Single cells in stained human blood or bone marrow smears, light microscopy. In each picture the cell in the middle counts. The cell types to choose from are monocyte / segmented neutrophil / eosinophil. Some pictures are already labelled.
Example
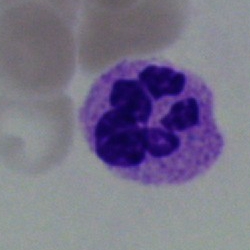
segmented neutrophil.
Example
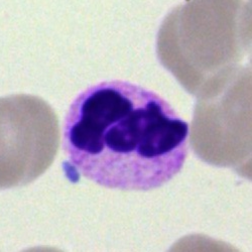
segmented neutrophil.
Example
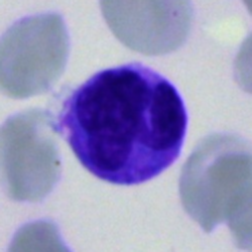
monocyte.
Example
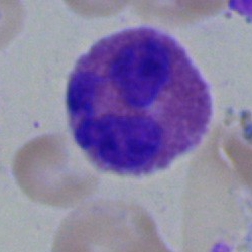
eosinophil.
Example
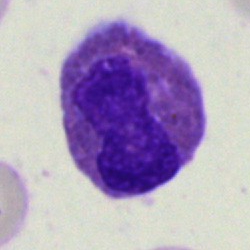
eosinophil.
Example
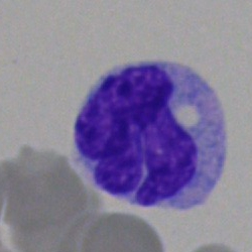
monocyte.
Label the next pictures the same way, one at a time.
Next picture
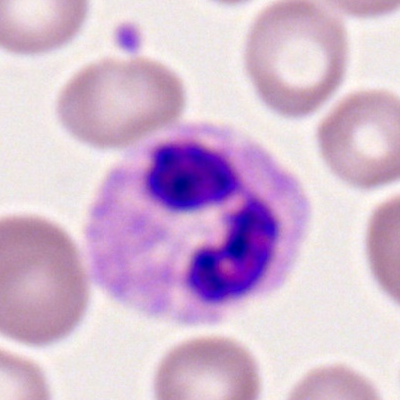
segmented neutrophil.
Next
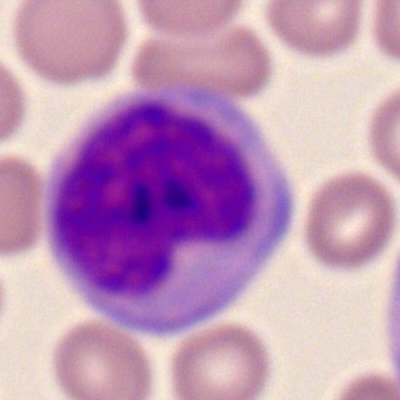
monocyte.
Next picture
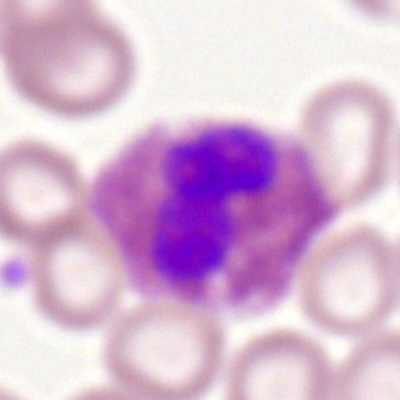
eosinophil.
